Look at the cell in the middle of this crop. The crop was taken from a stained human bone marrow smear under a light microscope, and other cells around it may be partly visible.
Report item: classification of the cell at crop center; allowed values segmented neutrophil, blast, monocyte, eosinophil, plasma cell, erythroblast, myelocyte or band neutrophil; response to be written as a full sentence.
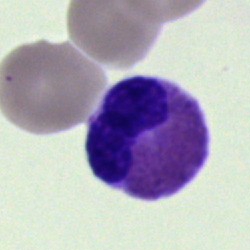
The central cell, amid any neighbouring cells, is an eosinophil.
